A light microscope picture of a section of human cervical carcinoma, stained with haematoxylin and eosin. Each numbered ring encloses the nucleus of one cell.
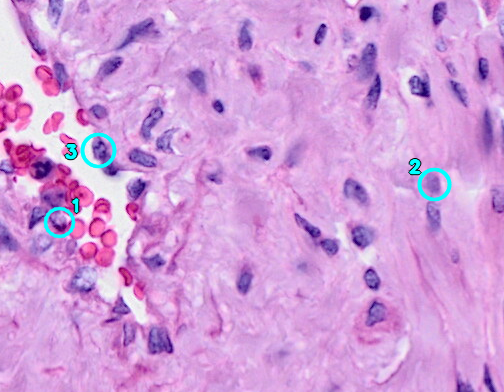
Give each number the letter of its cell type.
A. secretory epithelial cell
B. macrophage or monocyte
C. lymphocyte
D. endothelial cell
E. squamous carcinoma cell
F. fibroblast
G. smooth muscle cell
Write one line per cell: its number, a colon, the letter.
1: D
2: F
3: D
